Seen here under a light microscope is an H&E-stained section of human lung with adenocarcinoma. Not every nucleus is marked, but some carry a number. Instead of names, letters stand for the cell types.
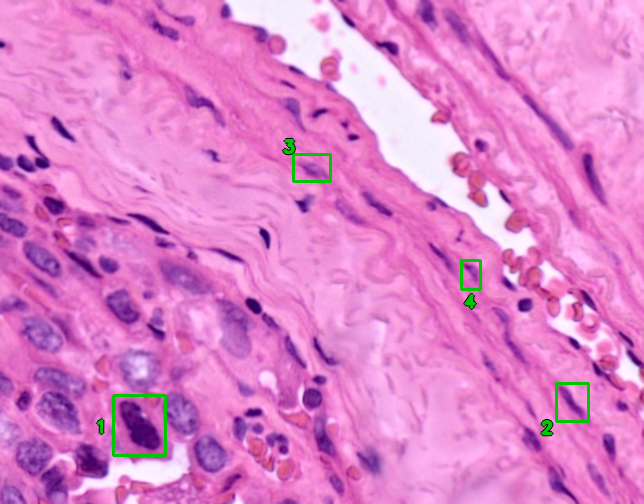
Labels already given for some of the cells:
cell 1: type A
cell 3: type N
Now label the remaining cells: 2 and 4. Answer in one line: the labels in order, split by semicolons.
type N; type N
